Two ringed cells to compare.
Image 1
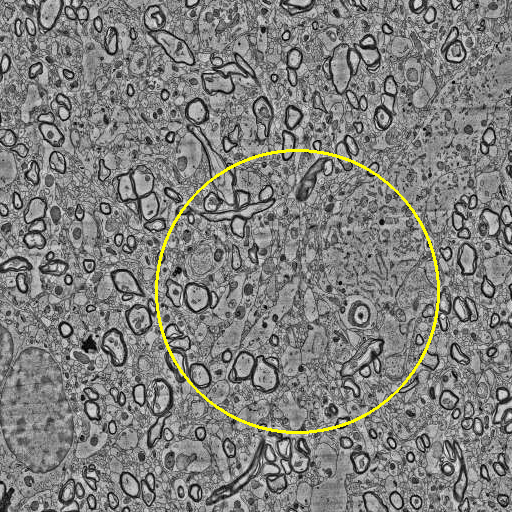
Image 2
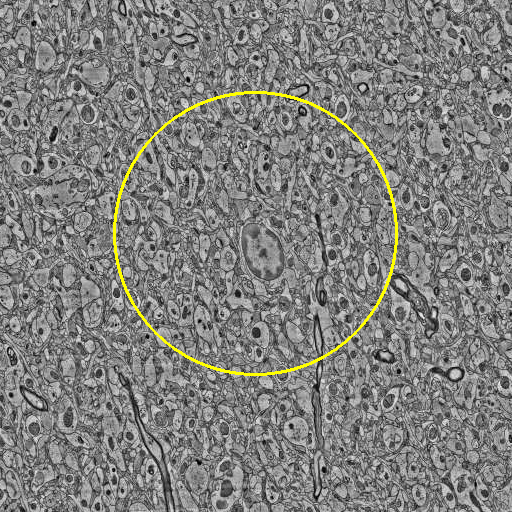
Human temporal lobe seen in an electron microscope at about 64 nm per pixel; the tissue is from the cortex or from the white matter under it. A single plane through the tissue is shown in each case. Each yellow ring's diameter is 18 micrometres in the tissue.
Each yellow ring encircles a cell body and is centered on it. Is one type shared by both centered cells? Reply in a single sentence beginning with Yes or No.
Yes, a single type is shared by the two cells at the centers of the rings.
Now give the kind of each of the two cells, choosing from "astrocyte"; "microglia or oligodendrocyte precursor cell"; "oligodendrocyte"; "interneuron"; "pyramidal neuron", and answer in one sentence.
Both pictures show a microglial cell or oligodendrocyte precursor cell at the centre of the ring.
